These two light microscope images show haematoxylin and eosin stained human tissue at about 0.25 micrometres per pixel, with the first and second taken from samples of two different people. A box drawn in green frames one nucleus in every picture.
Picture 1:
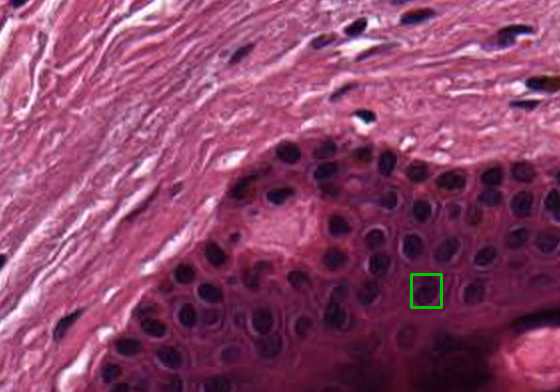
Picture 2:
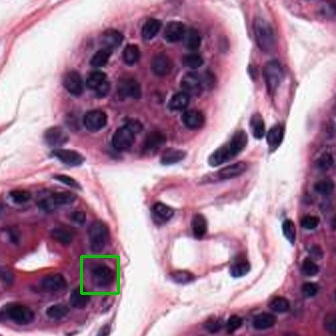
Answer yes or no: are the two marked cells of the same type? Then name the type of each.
No, the first is a keratinocyte and the second a sweat gland cell.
